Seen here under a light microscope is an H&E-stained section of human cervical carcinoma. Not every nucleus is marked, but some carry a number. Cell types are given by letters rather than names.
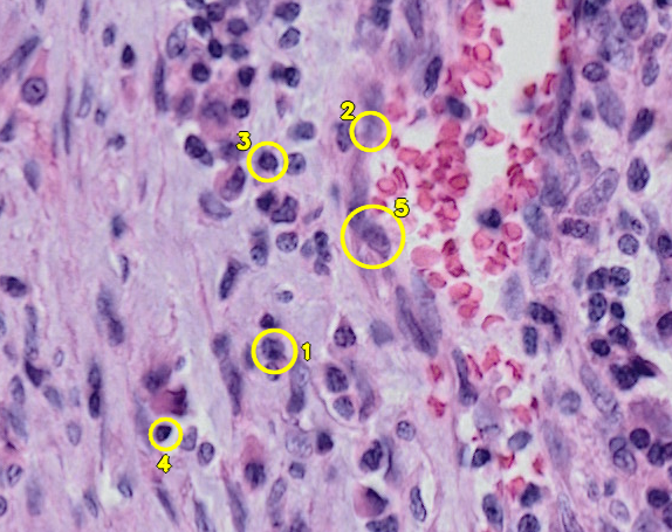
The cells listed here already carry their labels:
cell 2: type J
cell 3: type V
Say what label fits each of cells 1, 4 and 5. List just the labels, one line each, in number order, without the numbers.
type V
type V
type J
